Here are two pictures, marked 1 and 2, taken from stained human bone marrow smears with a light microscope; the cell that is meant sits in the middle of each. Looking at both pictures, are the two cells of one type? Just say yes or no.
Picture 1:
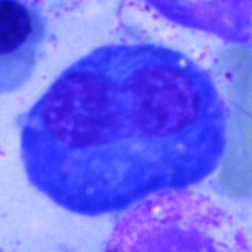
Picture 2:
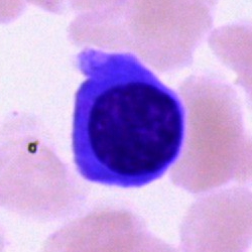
yes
